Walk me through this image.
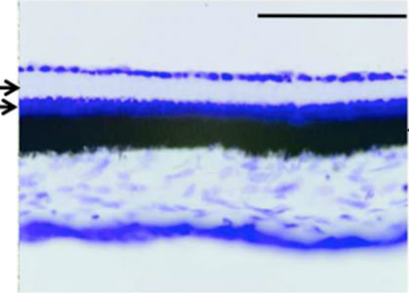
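A degenerated retina is very thin, with a sparse row of nuclei at the inner surface, a narrow pale band and one dense band of blue nuclei lying directly on a black pigmented layer. There is no thick band of packed outer nuclei and no pale striated band above the pigment. Below the black layer lies loose tissue with scattered elongated nuclei.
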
